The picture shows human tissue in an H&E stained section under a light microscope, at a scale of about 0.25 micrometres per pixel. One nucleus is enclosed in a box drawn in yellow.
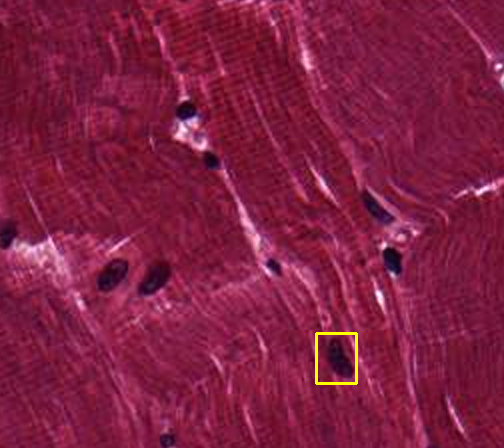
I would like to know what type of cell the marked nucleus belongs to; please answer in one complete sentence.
The marked nucleus is a nucleus of a skeletal muscle fibre.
